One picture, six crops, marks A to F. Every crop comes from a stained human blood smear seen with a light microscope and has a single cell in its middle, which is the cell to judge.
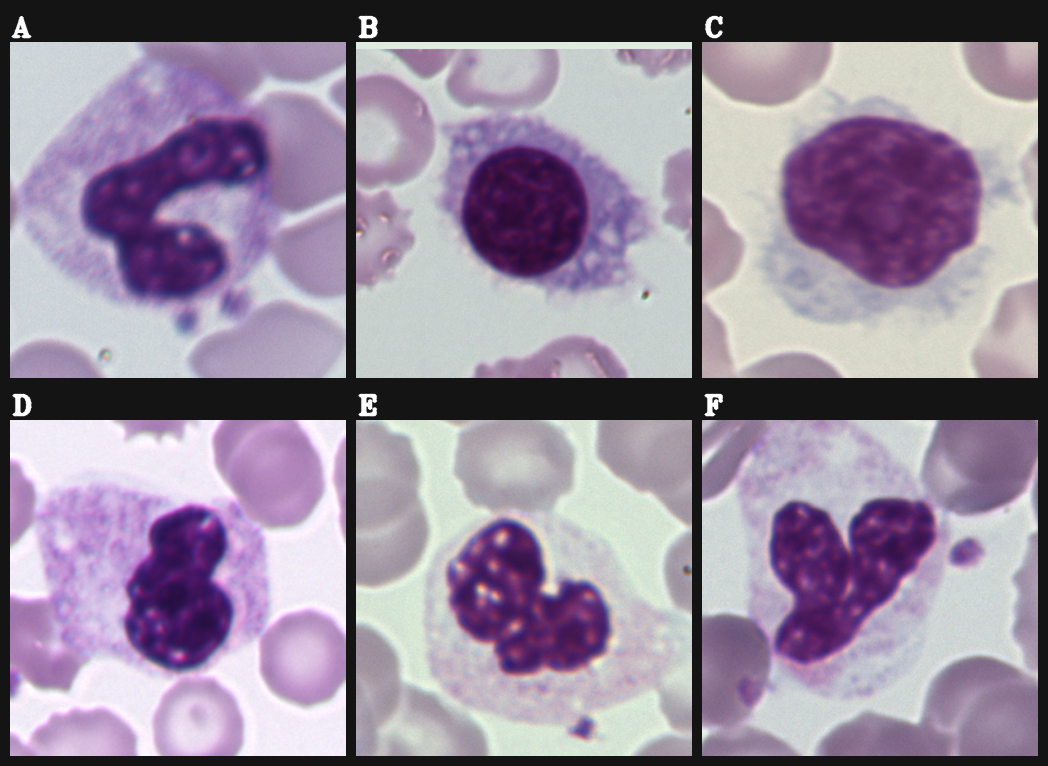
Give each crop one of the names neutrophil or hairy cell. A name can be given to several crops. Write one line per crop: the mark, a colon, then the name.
A: neutrophil
B: hairy cell
C: hairy cell
D: neutrophil
E: neutrophil
F: neutrophil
